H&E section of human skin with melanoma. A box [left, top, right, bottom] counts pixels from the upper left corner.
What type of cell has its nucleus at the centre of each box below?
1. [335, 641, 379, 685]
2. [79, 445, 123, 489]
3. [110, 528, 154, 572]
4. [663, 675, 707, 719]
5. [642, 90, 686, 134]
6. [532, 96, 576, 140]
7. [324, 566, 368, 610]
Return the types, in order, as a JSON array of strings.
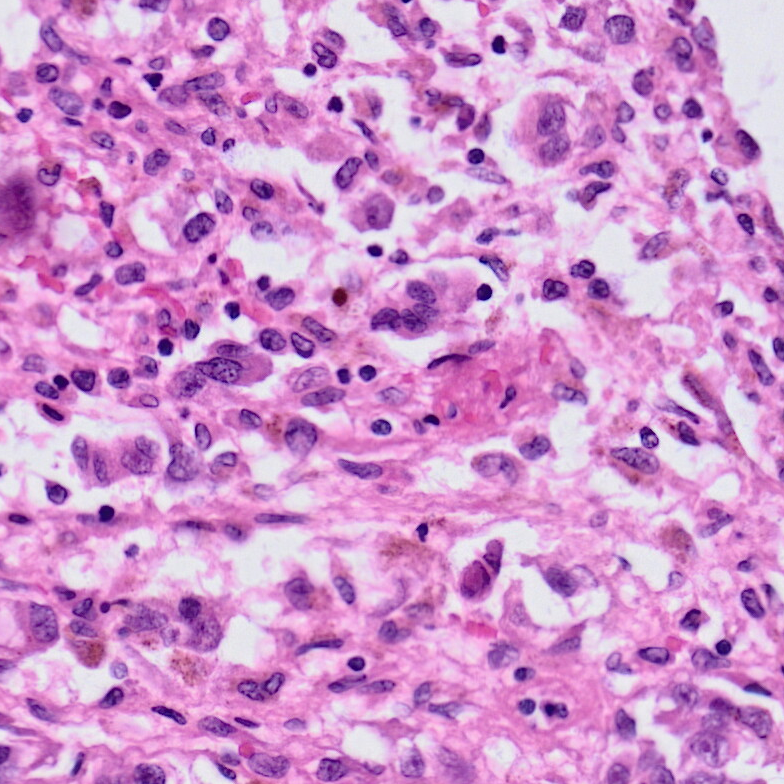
["lymphocyte", "melanoma cell", "lymphocyte", "melanoma cell", "macrophage or monocyte", "melanoma cell", "macrophage or monocyte"]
